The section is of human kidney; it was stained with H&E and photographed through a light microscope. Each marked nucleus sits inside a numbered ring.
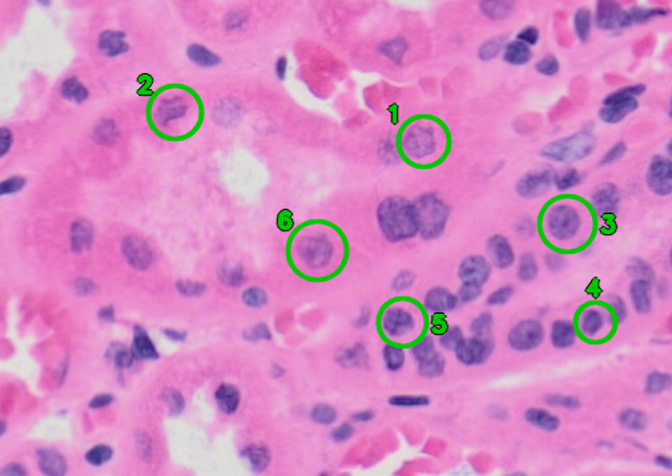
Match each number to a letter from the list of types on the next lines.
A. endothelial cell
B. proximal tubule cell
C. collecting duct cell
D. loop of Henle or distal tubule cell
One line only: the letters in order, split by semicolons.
B; B; C; C; C; B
